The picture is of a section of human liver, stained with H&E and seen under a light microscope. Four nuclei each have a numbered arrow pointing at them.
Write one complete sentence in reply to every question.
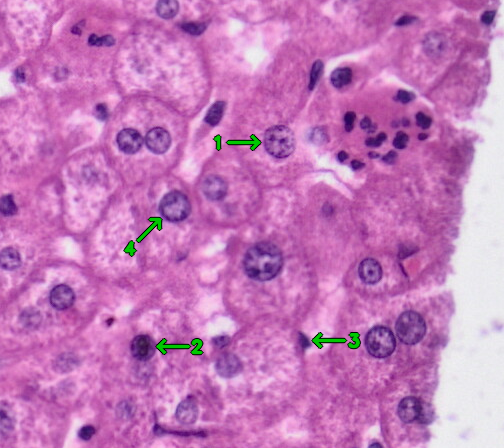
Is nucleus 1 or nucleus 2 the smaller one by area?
With nucleus 1 about 1.5 times its size, nucleus 2 is the smaller of the two.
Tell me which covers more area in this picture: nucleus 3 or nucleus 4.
Nucleus 4 is larger, with an area about 4 times that of nucleus 3.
